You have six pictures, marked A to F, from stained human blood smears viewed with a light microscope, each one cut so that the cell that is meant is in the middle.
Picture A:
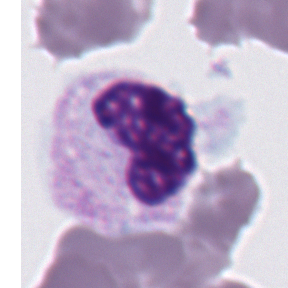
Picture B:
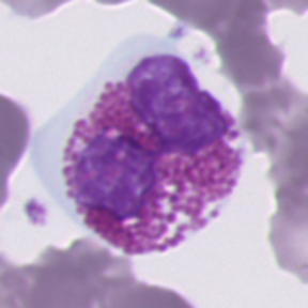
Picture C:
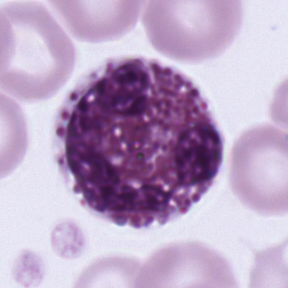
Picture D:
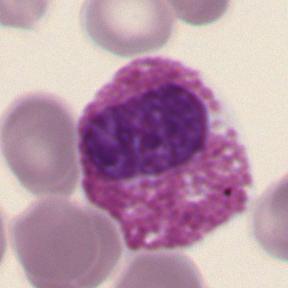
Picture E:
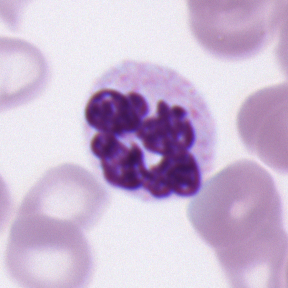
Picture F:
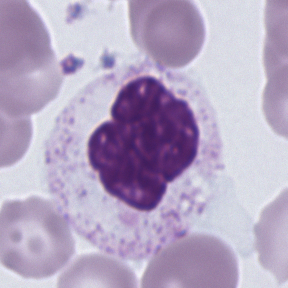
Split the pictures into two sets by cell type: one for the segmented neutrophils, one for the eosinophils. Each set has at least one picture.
A: segmented neutrophil
B: eosinophil
C: eosinophil
D: eosinophil
E: segmented neutrophil
F: segmented neutrophil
